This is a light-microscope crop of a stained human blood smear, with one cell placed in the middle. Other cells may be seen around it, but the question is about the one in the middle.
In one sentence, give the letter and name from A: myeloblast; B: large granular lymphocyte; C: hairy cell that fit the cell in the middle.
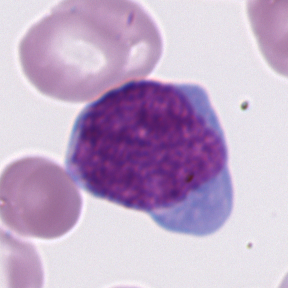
The cell right in the middle is a myeloblast, so option A is the one.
